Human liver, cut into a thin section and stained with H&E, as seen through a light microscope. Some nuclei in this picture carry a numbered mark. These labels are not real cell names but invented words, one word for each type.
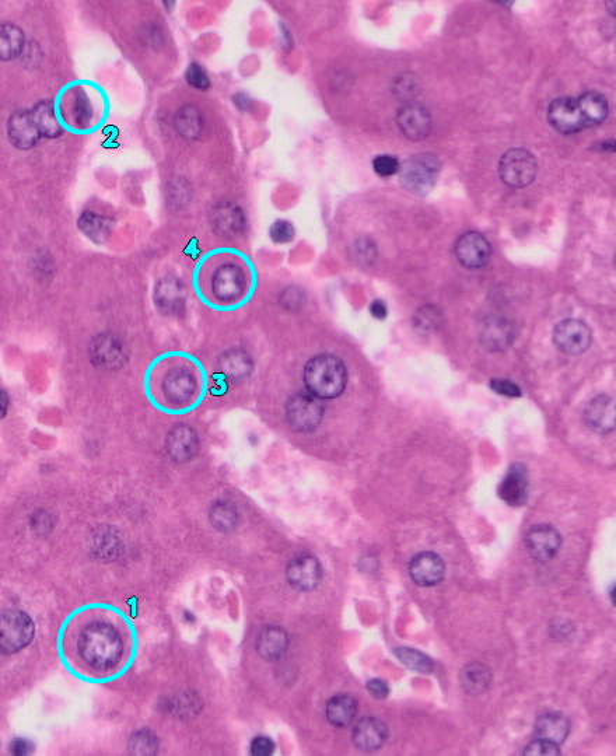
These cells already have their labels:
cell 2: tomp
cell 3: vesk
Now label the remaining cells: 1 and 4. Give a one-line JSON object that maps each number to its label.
{"1": "vesk", "4": "vesk"}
